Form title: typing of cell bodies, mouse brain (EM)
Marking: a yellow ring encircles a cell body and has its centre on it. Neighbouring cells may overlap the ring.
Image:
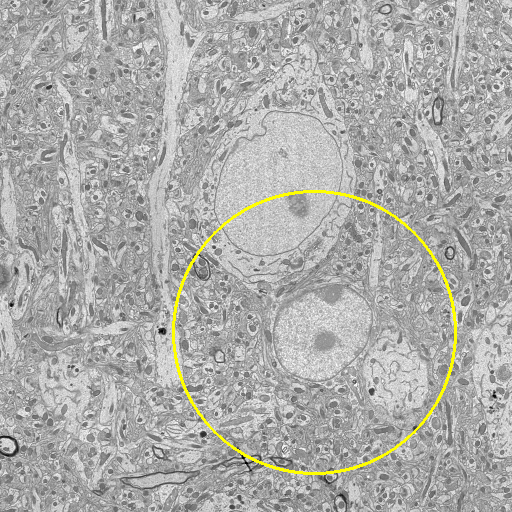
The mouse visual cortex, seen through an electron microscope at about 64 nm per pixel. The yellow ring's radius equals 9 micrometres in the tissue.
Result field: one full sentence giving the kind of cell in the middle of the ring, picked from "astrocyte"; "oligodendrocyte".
In the picture, the ring is centred on an astrocyte, whose cell body it encircles.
